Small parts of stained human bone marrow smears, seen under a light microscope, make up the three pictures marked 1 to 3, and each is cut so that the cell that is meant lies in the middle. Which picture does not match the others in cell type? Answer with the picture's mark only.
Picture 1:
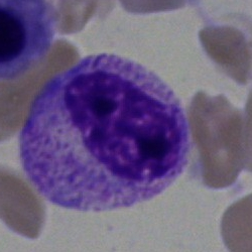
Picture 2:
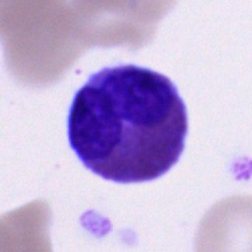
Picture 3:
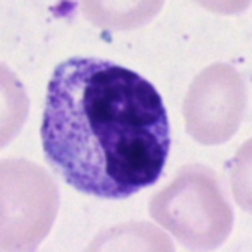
2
